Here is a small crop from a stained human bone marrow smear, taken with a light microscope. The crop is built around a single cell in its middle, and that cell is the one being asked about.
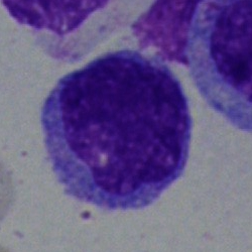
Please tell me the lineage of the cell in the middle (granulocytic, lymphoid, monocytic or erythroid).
monocytic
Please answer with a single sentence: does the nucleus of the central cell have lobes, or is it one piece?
See how the nucleus sits as one compact round, oval or kidney-shaped mass.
